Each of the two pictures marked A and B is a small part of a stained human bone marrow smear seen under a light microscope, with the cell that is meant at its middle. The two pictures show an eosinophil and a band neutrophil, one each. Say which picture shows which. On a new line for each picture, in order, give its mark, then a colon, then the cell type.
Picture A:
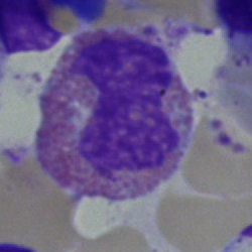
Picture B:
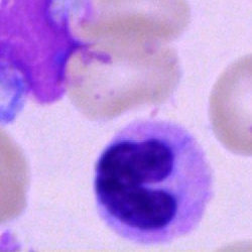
A: eosinophil
B: band neutrophil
